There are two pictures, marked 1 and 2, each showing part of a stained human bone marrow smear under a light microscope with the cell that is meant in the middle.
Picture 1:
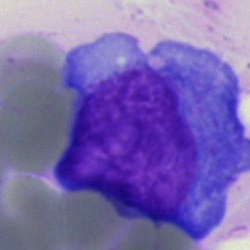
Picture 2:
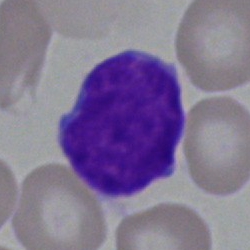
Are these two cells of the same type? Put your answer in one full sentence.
Yes, both are blasts.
